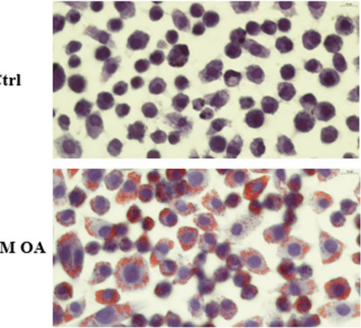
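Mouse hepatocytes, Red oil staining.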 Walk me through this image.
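In the upper image the cells are rounded to polygonal, with dark purple nuclei and a thin rim of pale cytoplasm that holds little or no red material. In the lower image many cells look larger and more spread. Their cytoplasm is crowded with small red droplets that gather around the purple nuclei.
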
